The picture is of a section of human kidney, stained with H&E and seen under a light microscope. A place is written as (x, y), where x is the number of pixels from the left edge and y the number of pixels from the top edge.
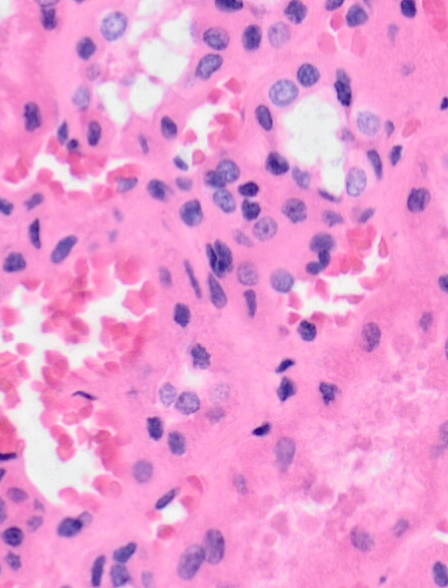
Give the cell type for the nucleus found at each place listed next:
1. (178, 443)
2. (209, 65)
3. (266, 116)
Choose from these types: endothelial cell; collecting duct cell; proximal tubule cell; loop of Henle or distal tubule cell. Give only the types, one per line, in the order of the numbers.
loop of Henle or distal tubule cell
collecting duct cell
collecting duct cell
